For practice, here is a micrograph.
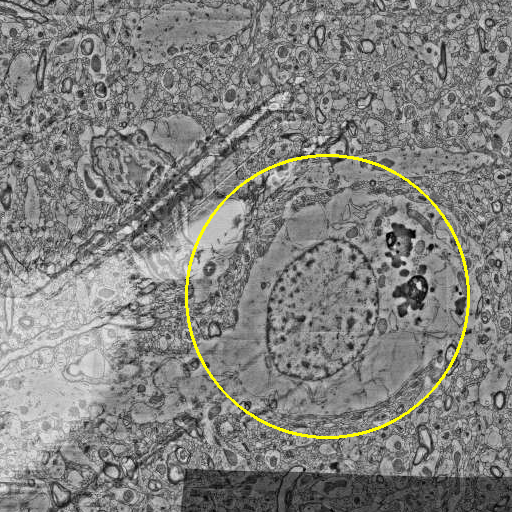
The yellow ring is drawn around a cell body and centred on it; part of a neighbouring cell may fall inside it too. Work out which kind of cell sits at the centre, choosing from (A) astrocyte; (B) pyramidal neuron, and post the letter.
A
